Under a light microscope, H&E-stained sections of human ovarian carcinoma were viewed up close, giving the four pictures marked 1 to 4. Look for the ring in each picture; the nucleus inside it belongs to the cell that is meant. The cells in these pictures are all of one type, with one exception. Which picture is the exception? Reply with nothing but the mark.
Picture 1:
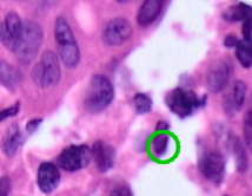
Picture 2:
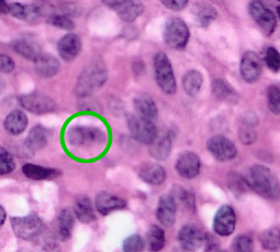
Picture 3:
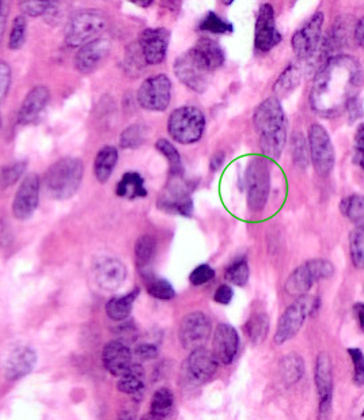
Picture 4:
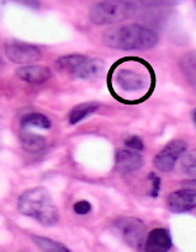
3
